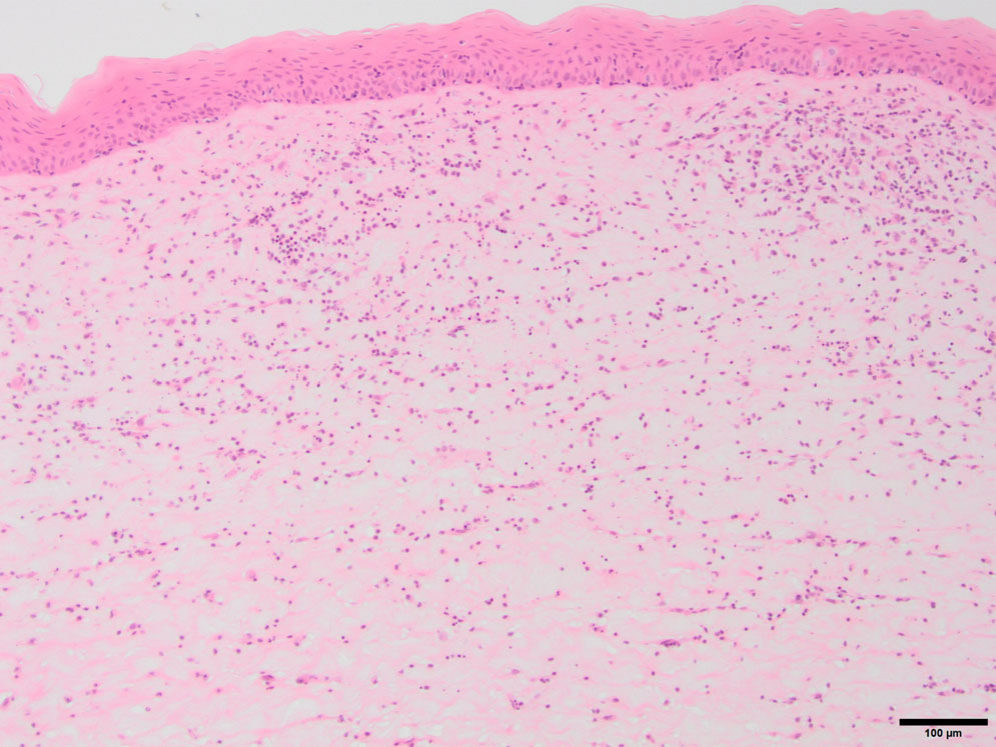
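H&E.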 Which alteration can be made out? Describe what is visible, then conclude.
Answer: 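Oedema. The stroma is pale and washed out, with widely separated, wispy fibres. Clear spaces lie between the stromal fibres throughout the thickness.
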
